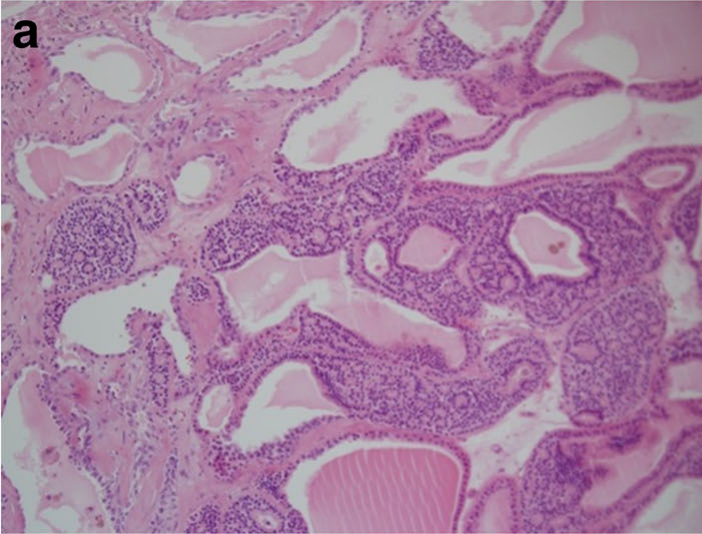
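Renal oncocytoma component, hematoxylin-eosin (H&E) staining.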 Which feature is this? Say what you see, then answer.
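Many rounded to irregular spaces of different sizes are scattered through the tissue. Thin cell layers line the spaces.
Hence: cyst.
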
